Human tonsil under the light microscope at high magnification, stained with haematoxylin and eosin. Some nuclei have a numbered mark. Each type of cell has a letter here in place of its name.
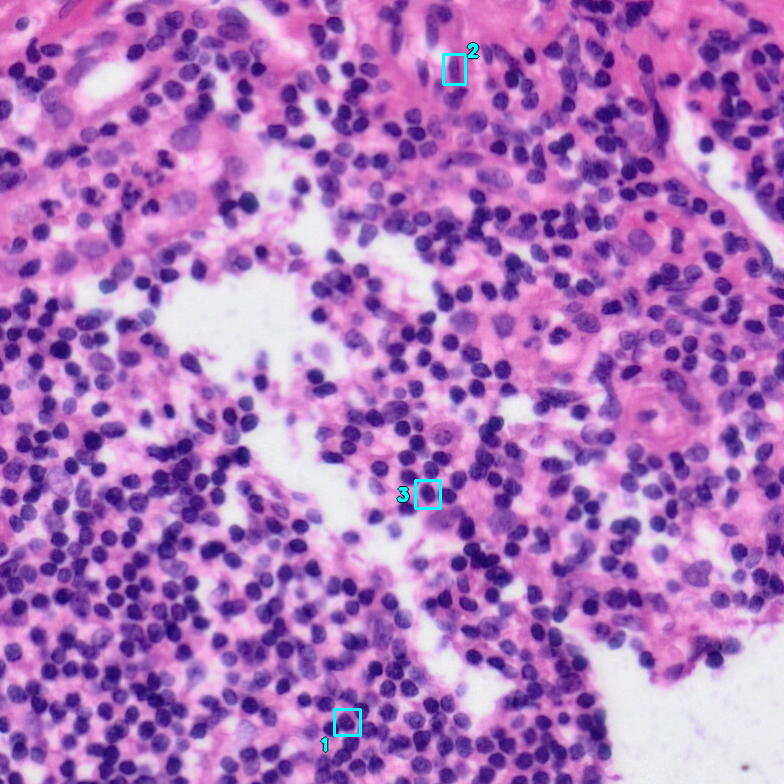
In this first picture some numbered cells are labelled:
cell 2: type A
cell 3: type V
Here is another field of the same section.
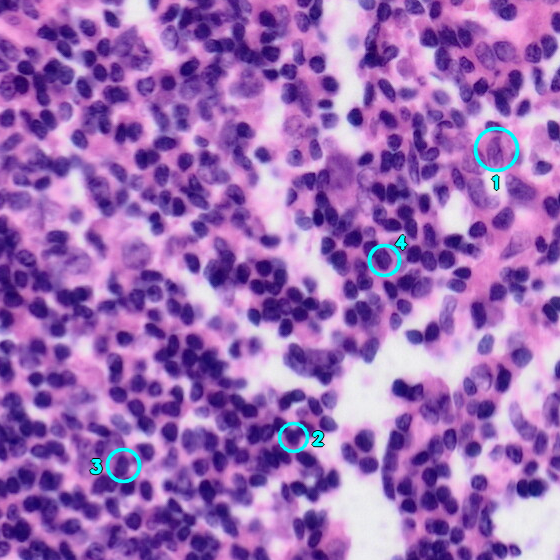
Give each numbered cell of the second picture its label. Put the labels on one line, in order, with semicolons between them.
type A; type V; type V; type V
